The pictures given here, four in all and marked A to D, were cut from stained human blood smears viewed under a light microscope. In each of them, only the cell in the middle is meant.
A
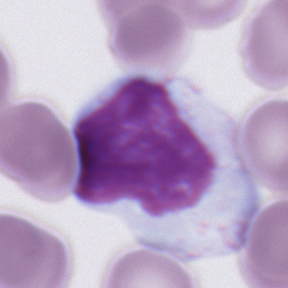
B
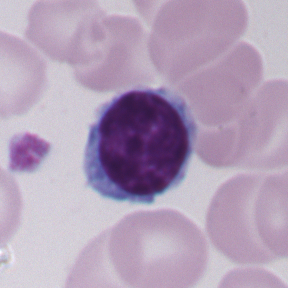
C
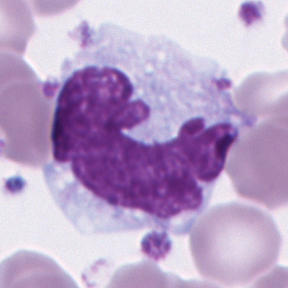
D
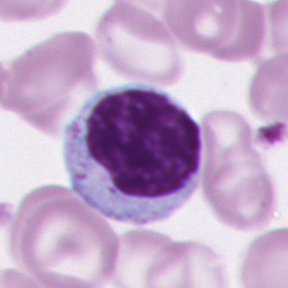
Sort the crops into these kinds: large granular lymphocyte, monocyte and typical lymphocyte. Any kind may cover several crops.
A: large granular lymphocyte
B: typical lymphocyte
C: monocyte
D: large granular lymphocyte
